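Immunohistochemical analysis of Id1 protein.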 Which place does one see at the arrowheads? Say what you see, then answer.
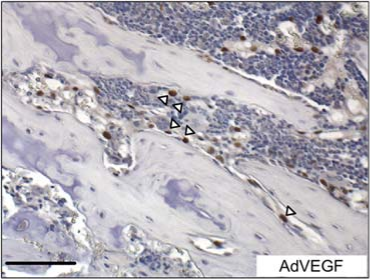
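The marked cells with brown nuclei lie along the surface of pale-stained bone trabeculae. Marrow cells fill the space next to the bone. That points to this answer: endosteal.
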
